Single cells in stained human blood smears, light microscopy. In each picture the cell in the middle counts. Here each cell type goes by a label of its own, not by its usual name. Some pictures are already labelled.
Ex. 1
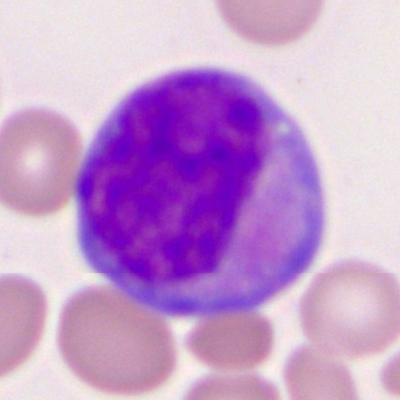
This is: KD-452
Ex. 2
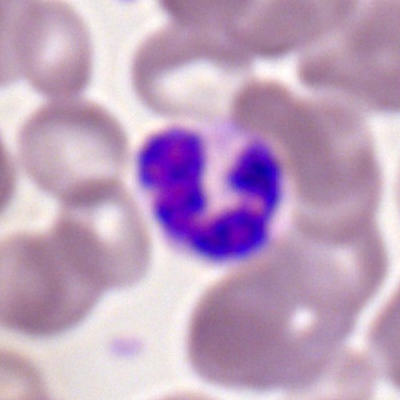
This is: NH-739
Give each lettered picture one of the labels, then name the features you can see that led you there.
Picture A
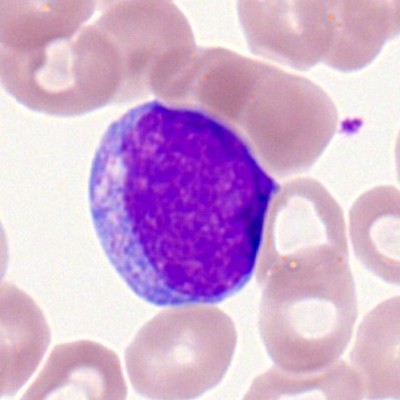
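KD-452. The nucleus fills most of the cell.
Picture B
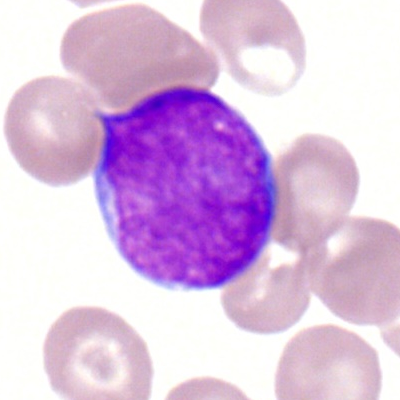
KD-452. The thin rim of cytoplasm is blue.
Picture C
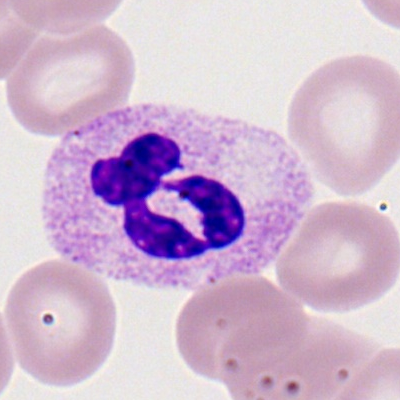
NH-739. The cytoplasm is abundant and pale pinkish-lilac.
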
